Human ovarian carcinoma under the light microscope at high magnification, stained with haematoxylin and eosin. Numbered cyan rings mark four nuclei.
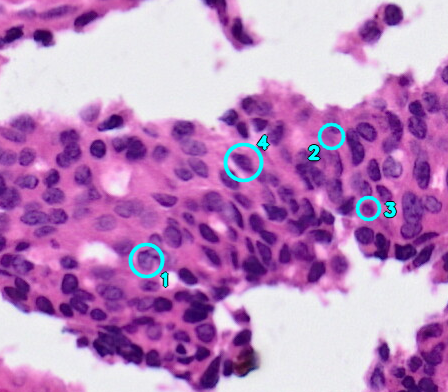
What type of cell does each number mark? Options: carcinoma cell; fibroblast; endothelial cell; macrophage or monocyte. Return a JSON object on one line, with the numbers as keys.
{"1": "macrophage or monocyte", "2": "carcinoma cell", "3": "carcinoma cell", "4": "carcinoma cell"}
